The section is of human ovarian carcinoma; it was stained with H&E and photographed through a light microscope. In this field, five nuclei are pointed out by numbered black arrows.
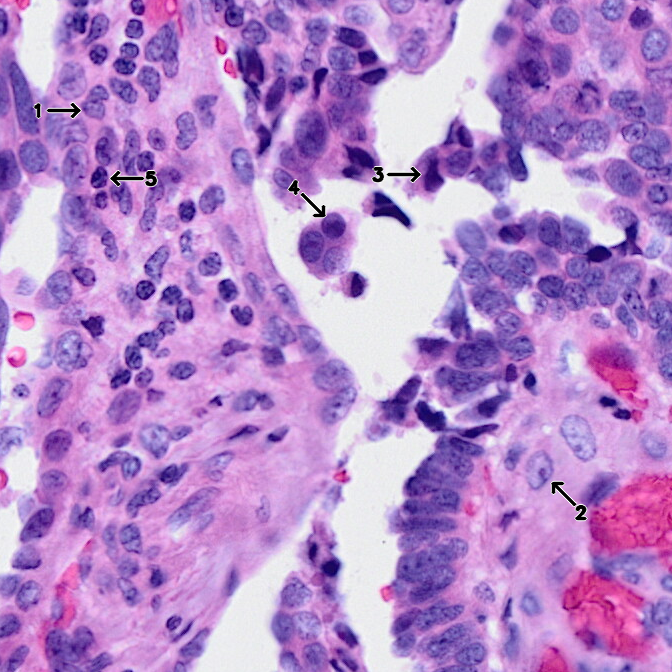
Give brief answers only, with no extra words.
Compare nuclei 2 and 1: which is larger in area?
2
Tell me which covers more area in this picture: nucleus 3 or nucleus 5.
3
